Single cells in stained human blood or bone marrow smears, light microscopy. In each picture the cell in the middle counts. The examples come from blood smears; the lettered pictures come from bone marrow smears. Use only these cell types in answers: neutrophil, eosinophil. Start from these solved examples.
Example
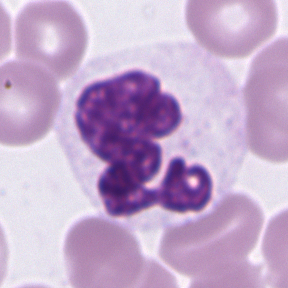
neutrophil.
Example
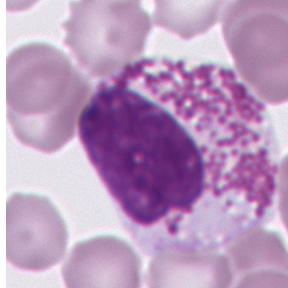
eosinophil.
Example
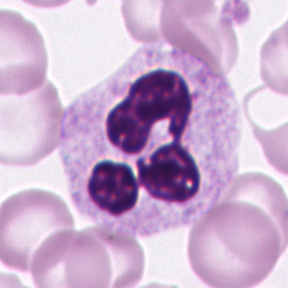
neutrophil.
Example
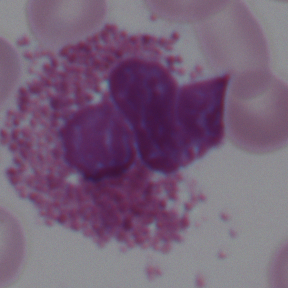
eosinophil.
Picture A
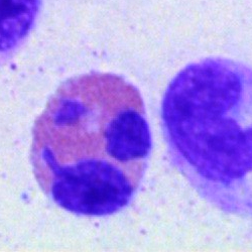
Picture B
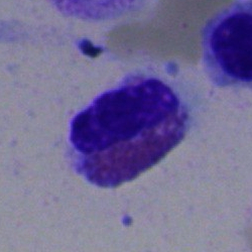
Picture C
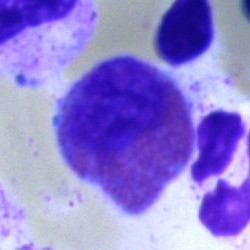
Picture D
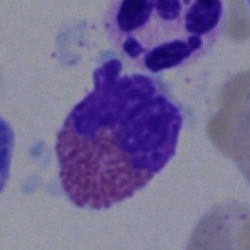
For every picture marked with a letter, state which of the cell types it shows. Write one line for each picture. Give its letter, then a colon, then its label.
A: eosinophil.
B: eosinophil.
C: eosinophil.
D: eosinophil.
